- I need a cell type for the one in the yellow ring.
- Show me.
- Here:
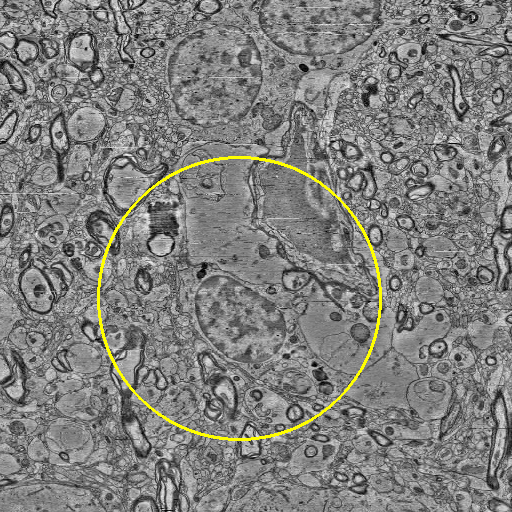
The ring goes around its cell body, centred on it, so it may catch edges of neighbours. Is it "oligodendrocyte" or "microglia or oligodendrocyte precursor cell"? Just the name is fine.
microglia or oligodendrocyte precursor cell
